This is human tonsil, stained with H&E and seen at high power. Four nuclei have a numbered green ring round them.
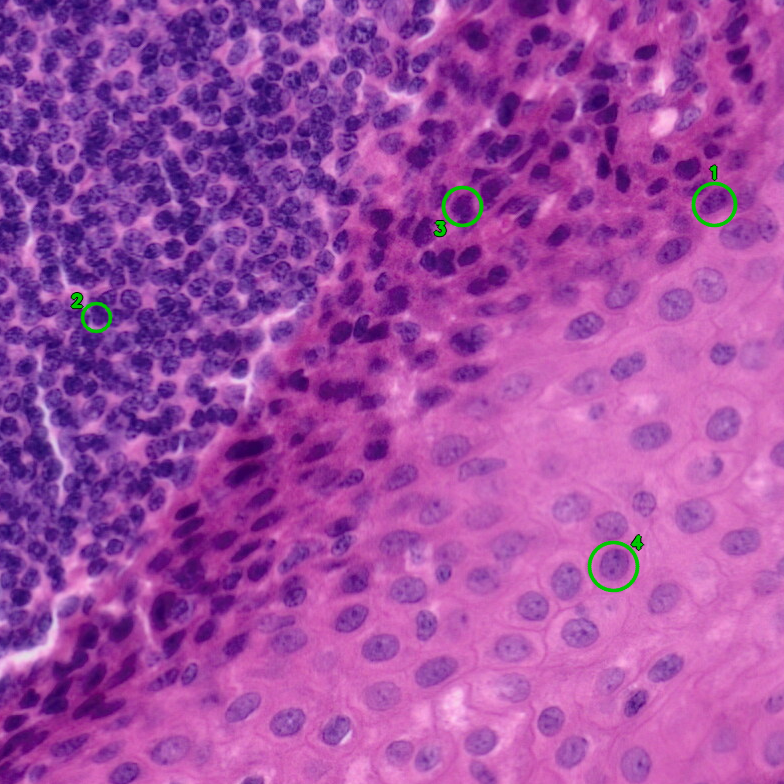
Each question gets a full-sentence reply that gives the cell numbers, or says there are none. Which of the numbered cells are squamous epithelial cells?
The cells with labels 1, 3 and 4 are squamous epithelial cells.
